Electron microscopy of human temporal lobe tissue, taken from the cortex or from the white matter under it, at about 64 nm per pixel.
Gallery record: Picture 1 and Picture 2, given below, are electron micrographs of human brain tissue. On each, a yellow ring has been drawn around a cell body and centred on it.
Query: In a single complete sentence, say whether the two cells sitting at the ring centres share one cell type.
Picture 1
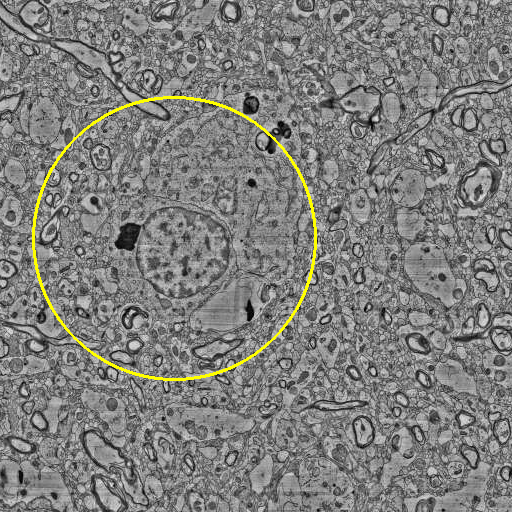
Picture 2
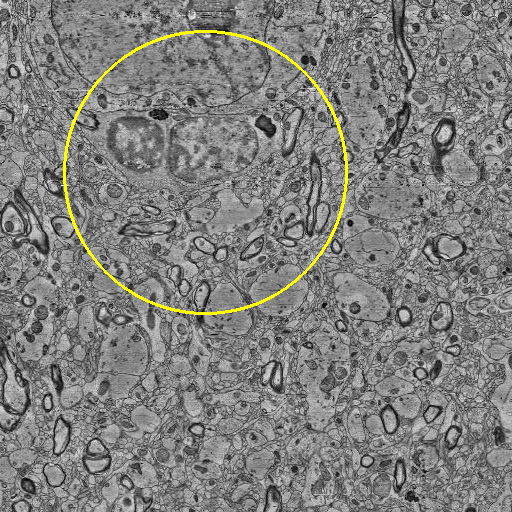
Yes, in both pictures the cell at the ring's centre is of one and the same type.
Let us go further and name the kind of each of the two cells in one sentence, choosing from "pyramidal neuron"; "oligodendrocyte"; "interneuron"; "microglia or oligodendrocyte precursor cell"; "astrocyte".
Each of the two rings surrounds an oligodendrocyte.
